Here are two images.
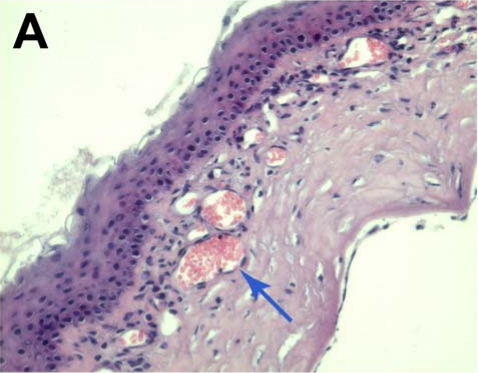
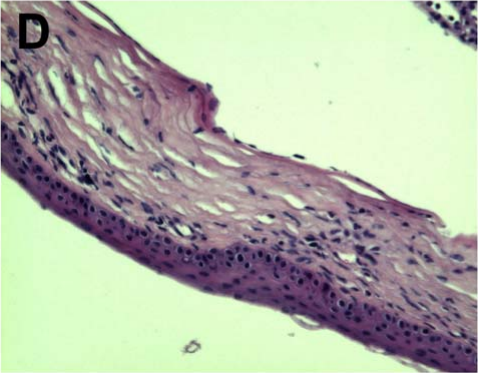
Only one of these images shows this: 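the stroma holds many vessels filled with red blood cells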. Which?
The first image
